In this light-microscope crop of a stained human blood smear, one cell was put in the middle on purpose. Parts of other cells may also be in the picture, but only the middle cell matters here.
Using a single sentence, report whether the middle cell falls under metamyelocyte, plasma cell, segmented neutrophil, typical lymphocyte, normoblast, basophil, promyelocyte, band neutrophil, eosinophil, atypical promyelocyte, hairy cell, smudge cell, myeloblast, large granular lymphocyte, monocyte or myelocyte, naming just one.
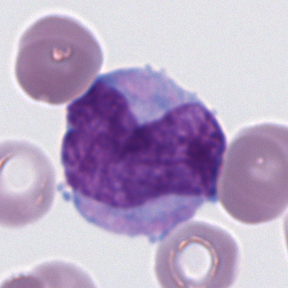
Centred in the crop is an atypical promyelocyte.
